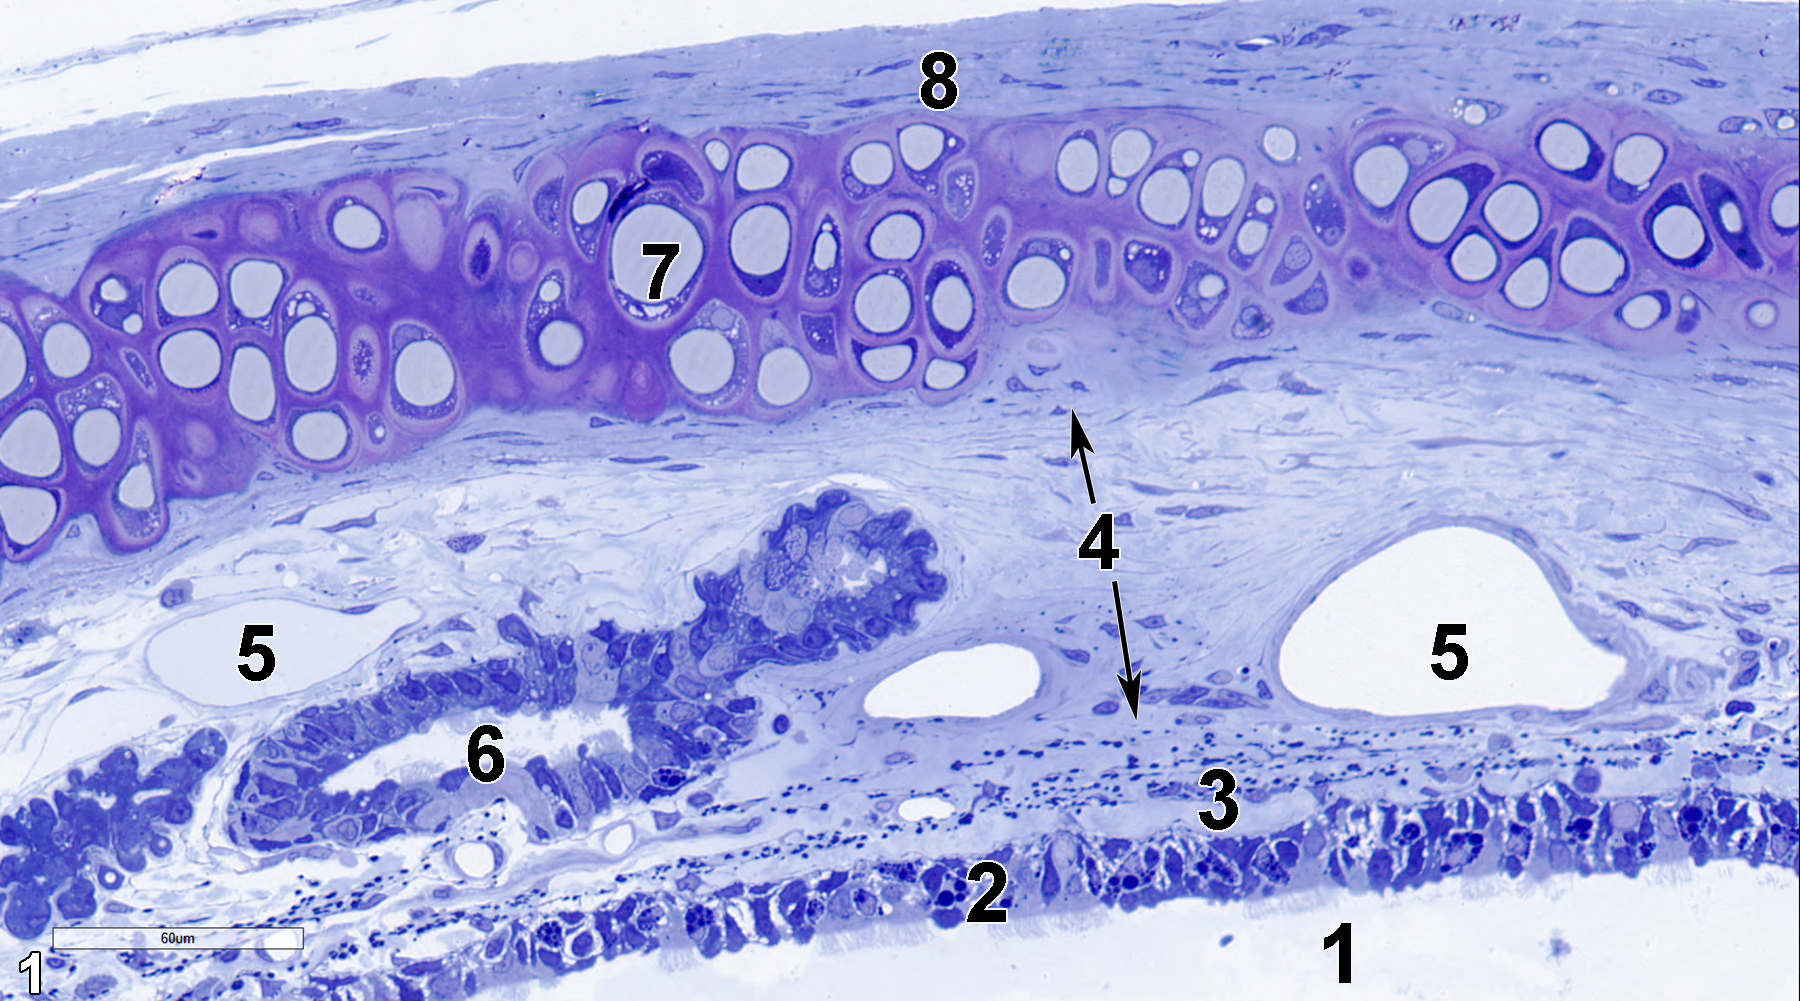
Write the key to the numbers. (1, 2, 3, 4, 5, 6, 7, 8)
(1) tracheal lumen
(2) pseudostratified epithelium
(3) lamina propria
(4) submucosal layer
(5) vessels
(6) submucosal glands
(7) cartilage
(8) fibrous adventitia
